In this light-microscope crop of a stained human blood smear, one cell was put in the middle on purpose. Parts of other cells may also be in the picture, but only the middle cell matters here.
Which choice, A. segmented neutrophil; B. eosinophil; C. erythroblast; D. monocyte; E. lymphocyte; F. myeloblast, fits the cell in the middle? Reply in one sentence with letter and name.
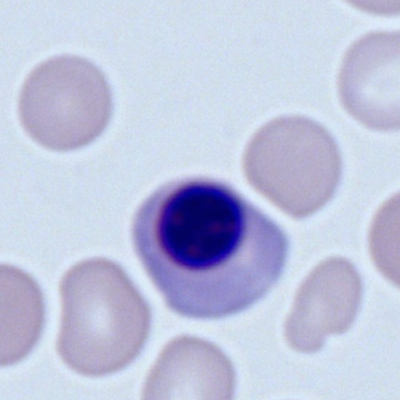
The cell in the middle is correctly identified as an erythroblast in option C.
